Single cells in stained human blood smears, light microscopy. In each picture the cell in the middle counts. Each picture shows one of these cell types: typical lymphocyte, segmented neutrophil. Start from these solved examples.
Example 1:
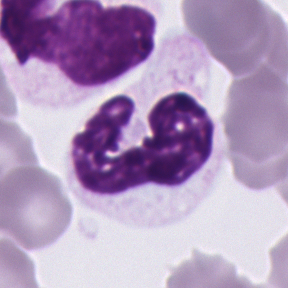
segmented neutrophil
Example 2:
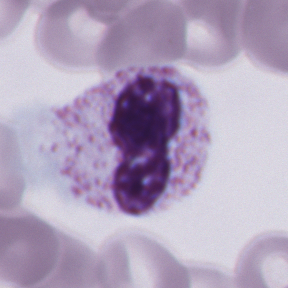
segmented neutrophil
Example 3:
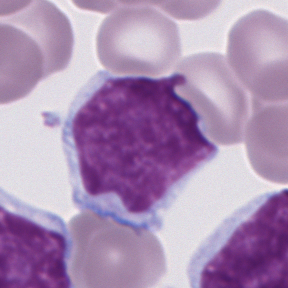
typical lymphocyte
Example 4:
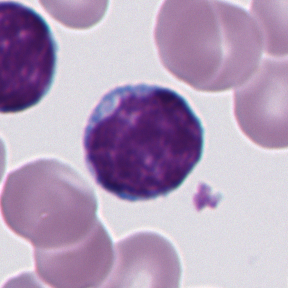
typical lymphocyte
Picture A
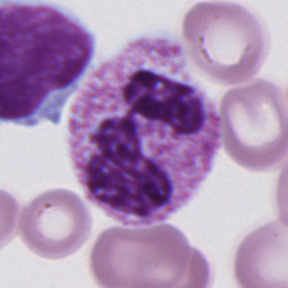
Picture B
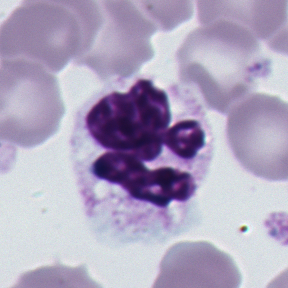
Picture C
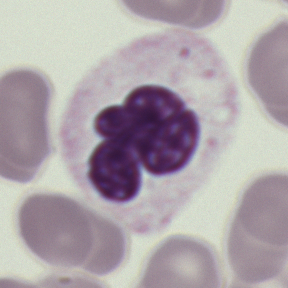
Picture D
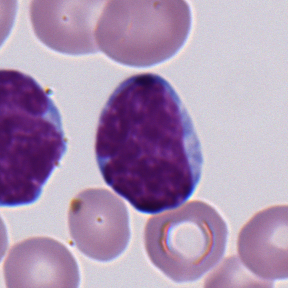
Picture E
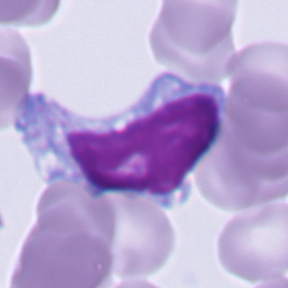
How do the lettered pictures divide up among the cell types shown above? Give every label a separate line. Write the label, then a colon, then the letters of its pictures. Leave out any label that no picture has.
typical lymphocyte: D, E
segmented neutrophil: A, B, C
